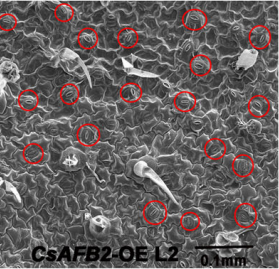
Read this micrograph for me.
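This scanning electron micrograph shows a leaf epidermal surface with many stomata scattered among pavement cells. The pavement cells have wavy, interlocking outlines like jigsaw pieces and a slightly bulging surface. Several elongated hair-like projections rise from the surface, some with a rounded base and a tapering, bent tip, casting bright edges in the image. The stomata lie between pavement cells without a regular pattern.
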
